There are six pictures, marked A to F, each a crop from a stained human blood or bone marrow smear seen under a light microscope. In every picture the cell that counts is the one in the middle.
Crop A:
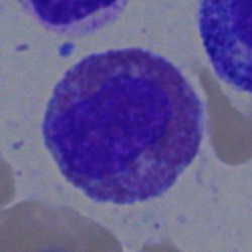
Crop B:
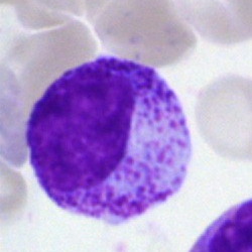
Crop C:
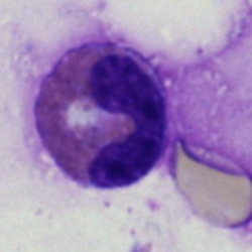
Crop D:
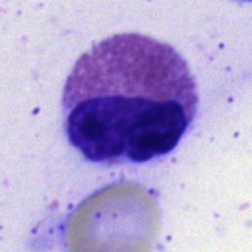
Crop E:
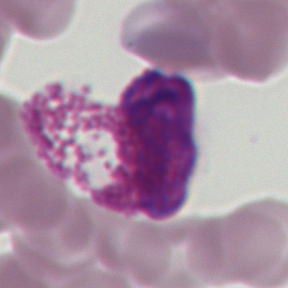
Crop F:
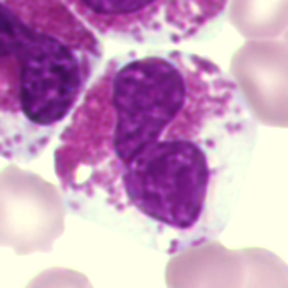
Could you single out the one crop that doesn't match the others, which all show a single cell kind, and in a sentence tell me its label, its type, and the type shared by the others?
What sets crop B apart is that it shows a myelocyte, while the others show eosinophils.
